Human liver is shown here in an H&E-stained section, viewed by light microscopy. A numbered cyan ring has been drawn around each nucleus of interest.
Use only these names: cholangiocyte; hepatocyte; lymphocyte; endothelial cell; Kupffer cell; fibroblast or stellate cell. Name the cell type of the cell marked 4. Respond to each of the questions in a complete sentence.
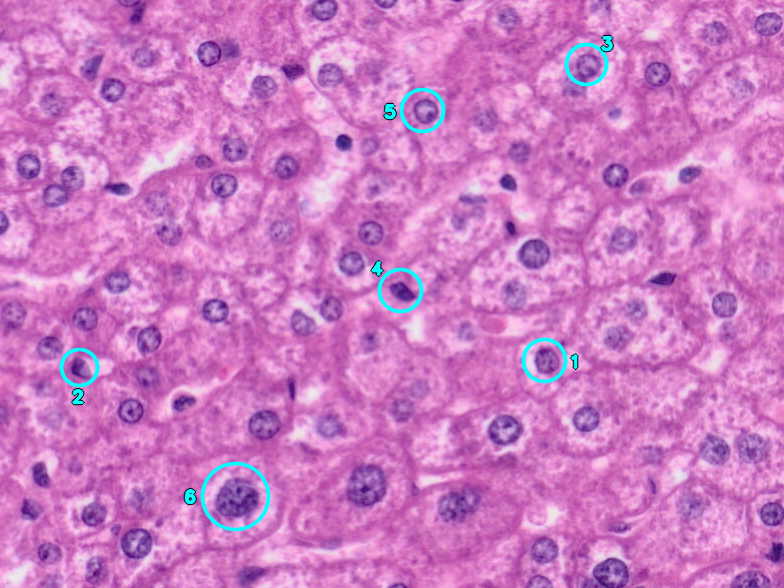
To a fibroblast or stellate cell belongs the nucleus marked 4.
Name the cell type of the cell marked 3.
The nucleus labeled 3 belongs to a hepatocyte.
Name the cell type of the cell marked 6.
Nucleus 6 in this section belongs to a hepatocyte.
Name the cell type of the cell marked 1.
Of the numbered cells, the one labelled 1 is a hepatocyte.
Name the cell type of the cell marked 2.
The one labeled 2 is an endothelial cell, to put it simply.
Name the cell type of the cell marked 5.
Marked with the number 5, this cell is a hepatocyte.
